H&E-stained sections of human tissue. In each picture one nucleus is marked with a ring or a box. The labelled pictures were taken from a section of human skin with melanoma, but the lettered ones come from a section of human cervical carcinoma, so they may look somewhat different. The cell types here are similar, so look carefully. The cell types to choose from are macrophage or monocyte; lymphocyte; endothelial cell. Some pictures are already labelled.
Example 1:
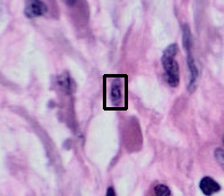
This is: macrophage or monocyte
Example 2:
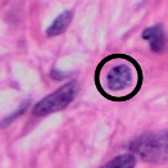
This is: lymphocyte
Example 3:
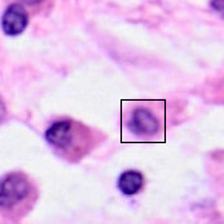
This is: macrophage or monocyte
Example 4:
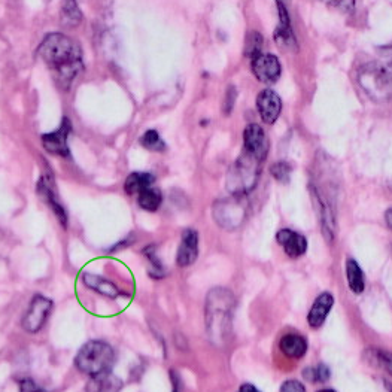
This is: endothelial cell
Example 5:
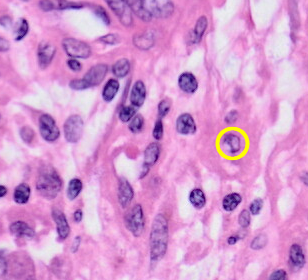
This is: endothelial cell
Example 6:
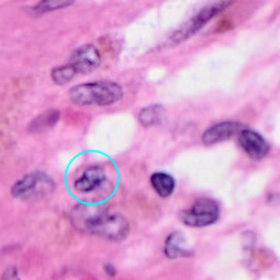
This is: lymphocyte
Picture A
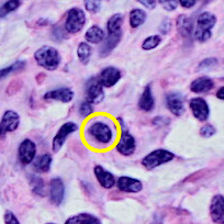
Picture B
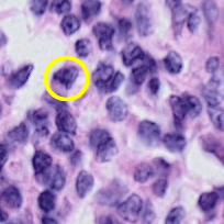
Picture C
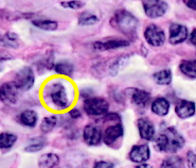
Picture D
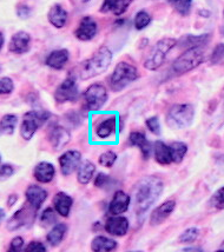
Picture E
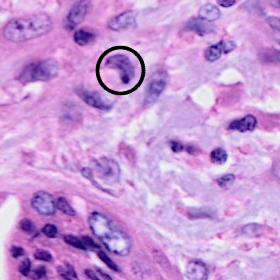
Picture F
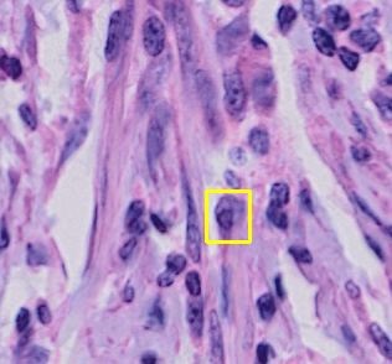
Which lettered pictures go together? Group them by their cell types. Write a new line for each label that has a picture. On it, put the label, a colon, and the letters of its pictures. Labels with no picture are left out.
macrophage or monocyte: E, F
lymphocyte: A, B, C, D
